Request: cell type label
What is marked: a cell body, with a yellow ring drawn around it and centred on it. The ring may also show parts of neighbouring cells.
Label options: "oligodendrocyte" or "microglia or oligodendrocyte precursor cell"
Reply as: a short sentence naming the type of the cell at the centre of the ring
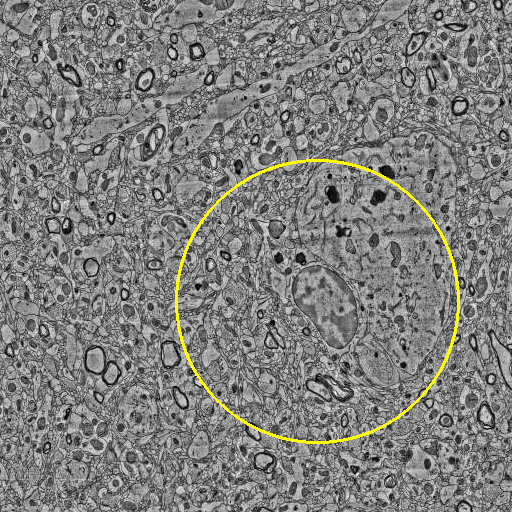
The marked cell body is that of a microglial cell or oligodendrocyte precursor cell.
